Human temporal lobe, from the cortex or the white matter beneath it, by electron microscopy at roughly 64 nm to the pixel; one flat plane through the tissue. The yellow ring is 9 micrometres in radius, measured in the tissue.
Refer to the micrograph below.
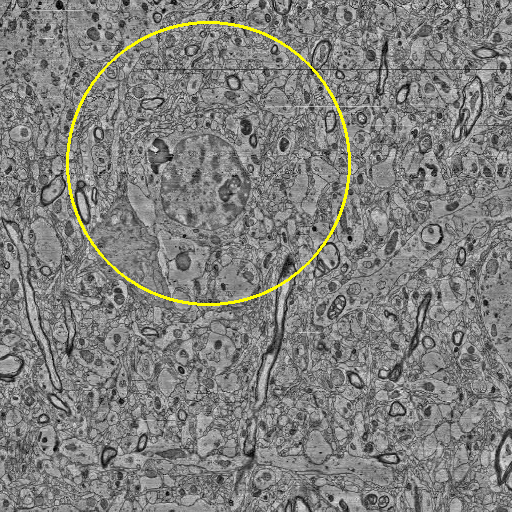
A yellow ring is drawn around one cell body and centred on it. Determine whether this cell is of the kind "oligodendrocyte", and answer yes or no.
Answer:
yes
